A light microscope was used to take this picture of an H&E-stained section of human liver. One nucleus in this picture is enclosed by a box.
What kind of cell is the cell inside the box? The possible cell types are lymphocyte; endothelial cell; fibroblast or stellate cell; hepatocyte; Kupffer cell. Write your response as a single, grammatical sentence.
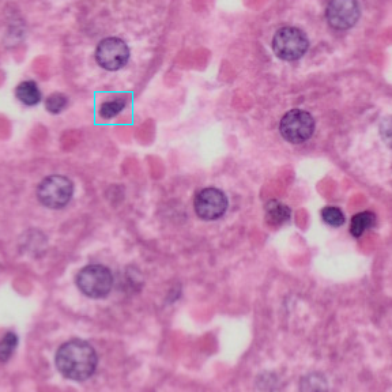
The correct response here is that the cell inside the box is a fibroblast or stellate cell.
